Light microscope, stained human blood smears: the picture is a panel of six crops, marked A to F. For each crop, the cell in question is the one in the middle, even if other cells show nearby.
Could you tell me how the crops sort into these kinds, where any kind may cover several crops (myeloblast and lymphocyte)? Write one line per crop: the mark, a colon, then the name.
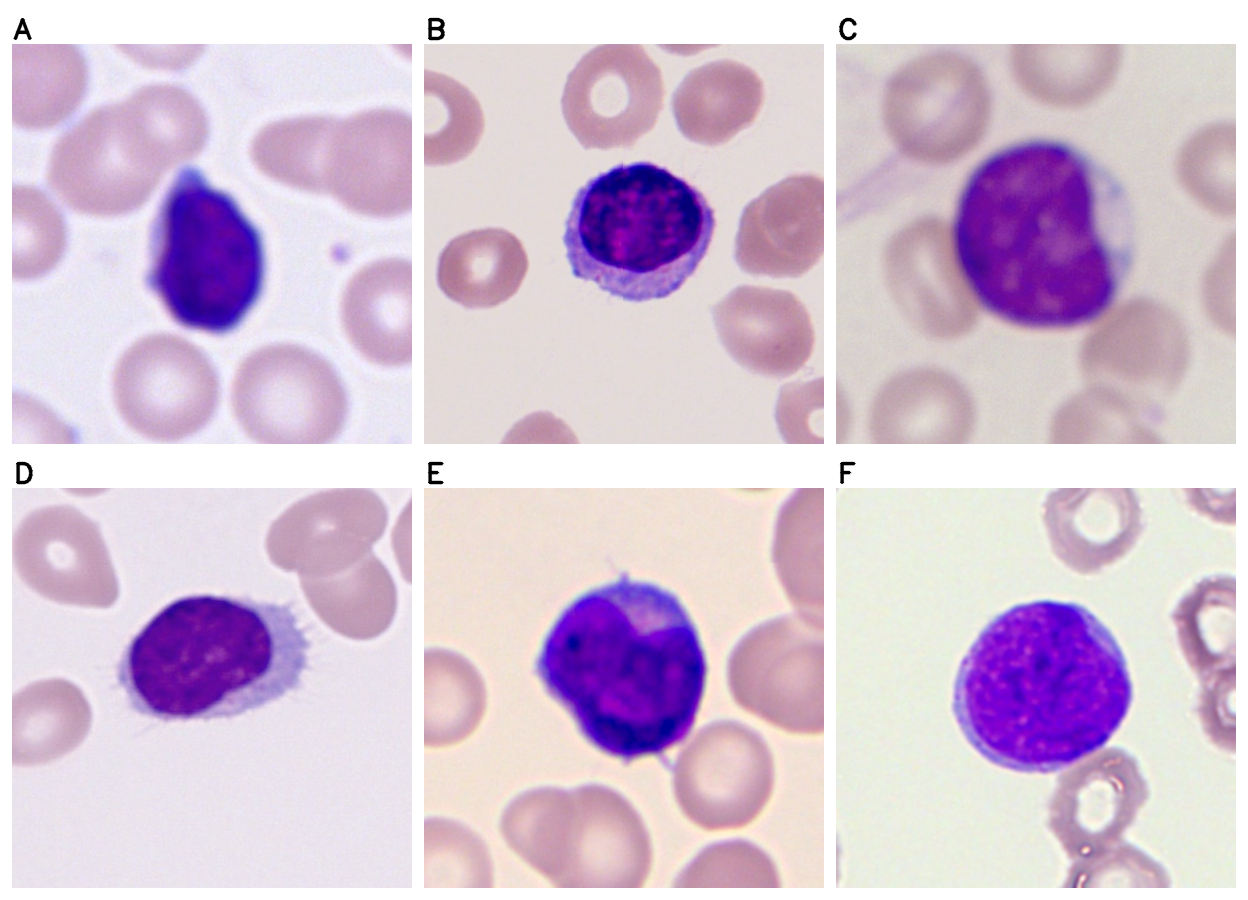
A: lymphocyte
B: lymphocyte
C: myeloblast
D: lymphocyte
E: myeloblast
F: myeloblast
